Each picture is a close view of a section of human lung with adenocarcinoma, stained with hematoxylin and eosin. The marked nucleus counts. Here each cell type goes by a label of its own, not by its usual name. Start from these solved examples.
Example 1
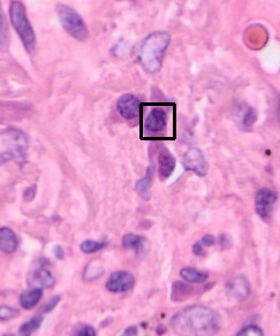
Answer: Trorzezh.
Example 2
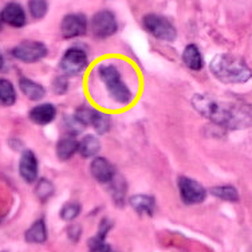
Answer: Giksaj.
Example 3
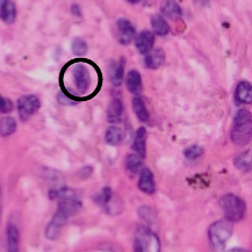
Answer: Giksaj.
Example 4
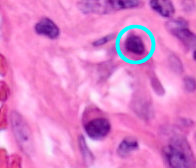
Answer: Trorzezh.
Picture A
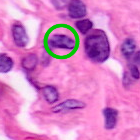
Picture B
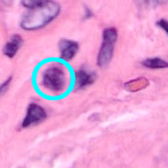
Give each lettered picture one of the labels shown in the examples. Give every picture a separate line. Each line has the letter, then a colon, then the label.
A: Giksaj.
B: Trorzezh.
